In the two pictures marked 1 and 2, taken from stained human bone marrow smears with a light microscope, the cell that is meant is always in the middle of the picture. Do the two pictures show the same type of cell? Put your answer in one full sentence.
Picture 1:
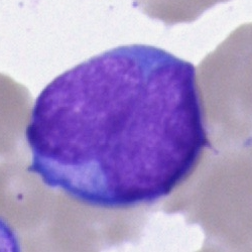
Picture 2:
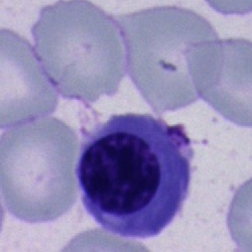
No. Picture 1 shows a blast, but picture 2 shows an erythroblast.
